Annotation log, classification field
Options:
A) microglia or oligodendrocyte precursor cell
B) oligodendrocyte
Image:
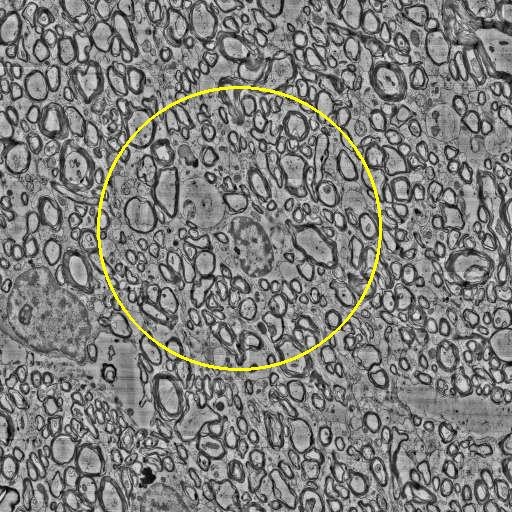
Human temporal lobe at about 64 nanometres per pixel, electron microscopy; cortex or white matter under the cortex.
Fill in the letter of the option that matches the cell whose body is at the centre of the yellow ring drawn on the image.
A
